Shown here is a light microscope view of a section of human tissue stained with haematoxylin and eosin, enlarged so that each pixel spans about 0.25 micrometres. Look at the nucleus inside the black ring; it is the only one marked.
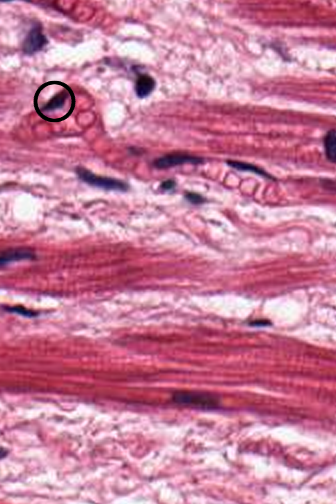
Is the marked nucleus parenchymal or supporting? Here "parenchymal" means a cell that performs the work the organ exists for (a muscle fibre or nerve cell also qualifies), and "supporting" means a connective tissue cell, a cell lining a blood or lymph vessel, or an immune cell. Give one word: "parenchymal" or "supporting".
supporting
